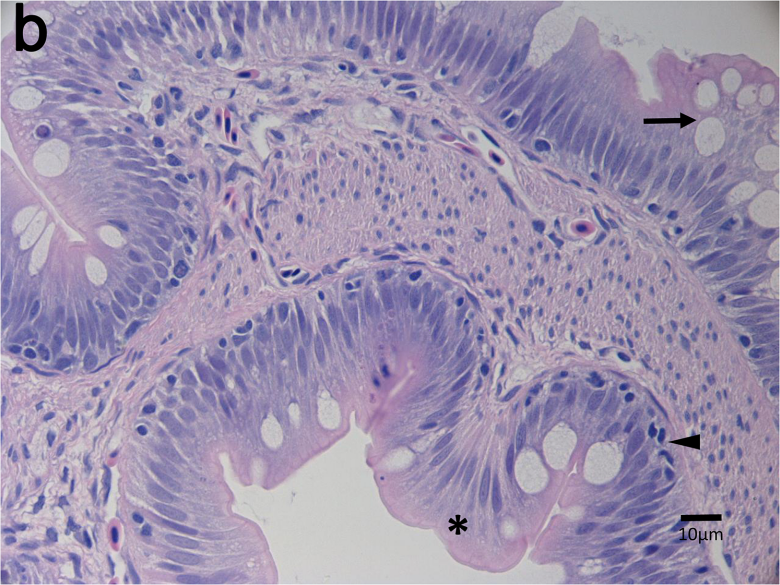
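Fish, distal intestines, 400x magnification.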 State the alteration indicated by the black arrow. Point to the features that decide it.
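Mucous cell hyperplasia. The arrow points to a large round clear vacuole-like cell in the epithelium. Many such large clear rounded cells lie close together among the columnar cells.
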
